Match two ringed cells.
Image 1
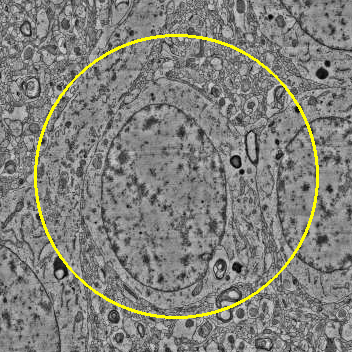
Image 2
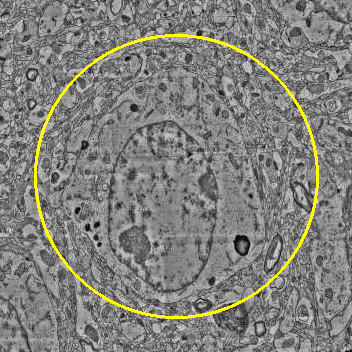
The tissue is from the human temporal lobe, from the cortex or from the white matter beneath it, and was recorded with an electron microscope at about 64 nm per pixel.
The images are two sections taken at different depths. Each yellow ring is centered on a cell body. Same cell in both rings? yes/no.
yes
